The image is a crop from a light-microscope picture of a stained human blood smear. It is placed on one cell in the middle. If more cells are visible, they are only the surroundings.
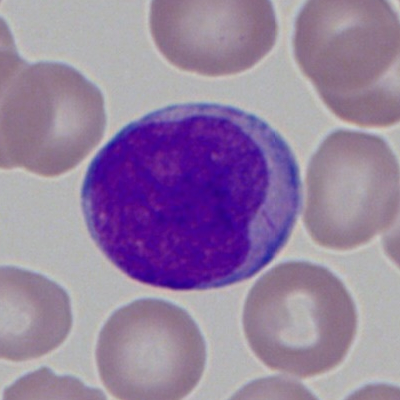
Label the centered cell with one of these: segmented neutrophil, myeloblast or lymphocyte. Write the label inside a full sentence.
The cell the crop is centered on is a myeloblast.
